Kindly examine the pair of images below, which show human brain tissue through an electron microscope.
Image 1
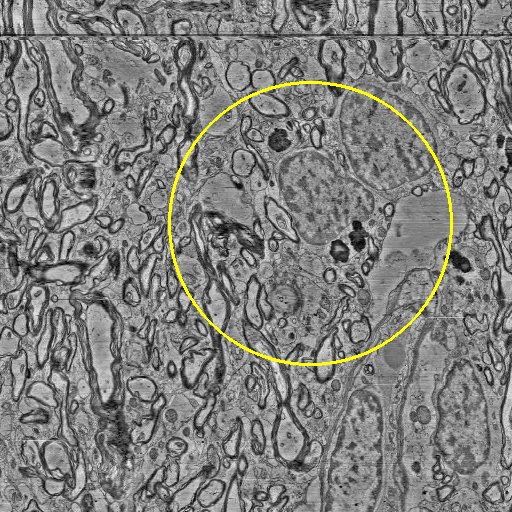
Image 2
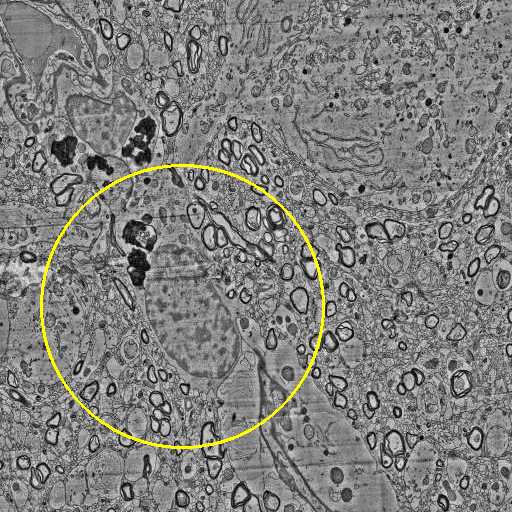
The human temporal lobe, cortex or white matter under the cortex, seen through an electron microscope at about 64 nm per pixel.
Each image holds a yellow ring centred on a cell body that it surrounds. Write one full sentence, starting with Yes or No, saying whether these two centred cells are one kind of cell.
Yes, both cells at the centres of the yellow rings belong to one kind of cell.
